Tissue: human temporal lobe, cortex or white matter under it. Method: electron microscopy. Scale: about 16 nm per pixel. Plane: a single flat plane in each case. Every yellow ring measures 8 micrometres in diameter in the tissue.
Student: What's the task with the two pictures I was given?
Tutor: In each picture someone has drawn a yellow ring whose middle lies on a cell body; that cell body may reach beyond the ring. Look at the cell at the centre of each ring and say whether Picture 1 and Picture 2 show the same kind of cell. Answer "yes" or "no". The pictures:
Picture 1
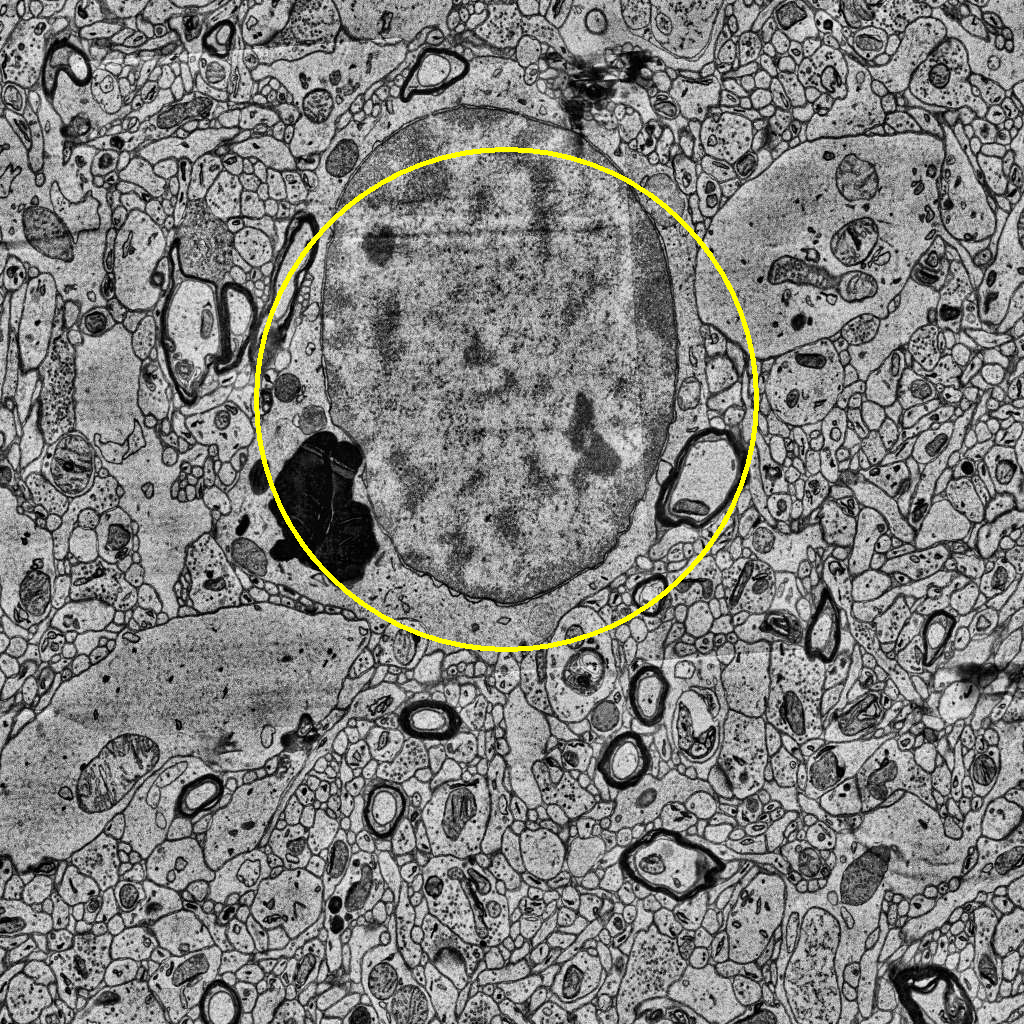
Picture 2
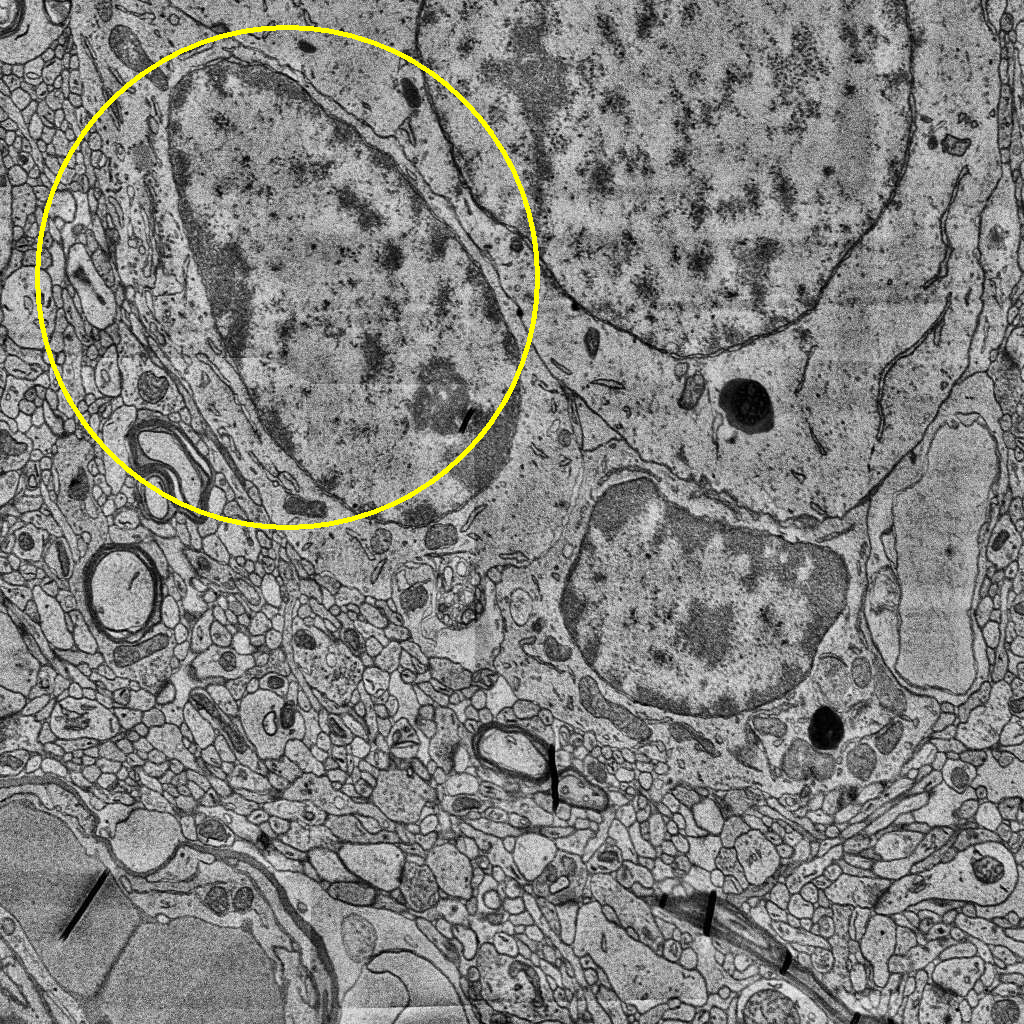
no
